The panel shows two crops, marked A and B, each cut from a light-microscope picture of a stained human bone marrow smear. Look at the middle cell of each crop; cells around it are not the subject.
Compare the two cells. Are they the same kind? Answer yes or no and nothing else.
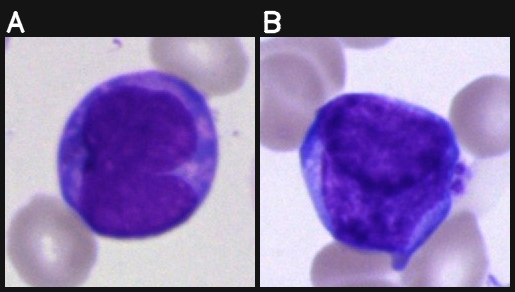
yes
